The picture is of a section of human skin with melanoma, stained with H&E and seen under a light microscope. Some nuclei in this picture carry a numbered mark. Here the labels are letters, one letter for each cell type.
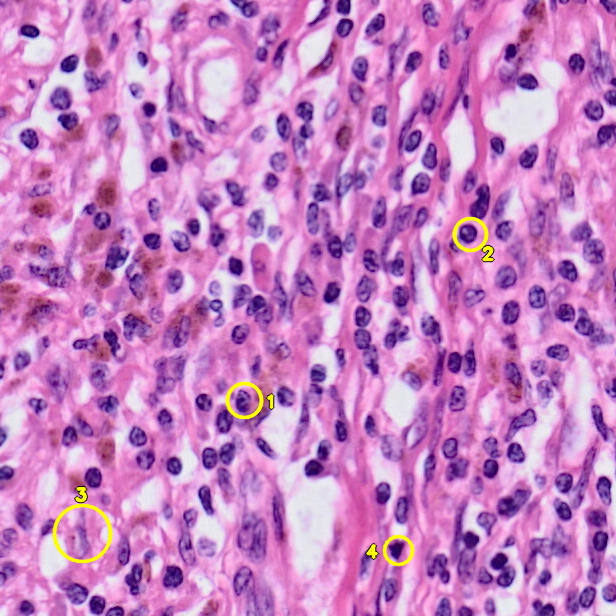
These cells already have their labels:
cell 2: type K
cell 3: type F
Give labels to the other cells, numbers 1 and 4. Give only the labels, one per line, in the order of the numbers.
type K
type K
